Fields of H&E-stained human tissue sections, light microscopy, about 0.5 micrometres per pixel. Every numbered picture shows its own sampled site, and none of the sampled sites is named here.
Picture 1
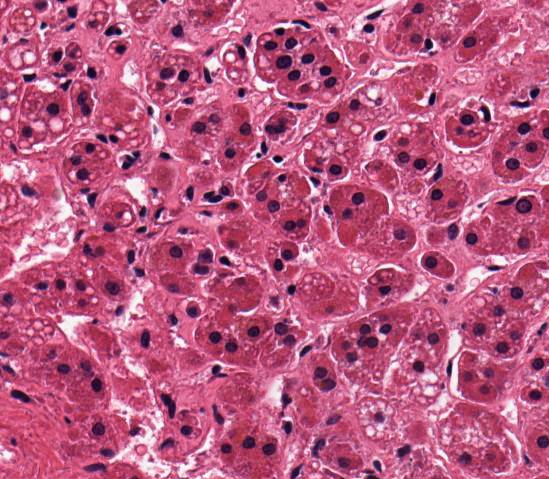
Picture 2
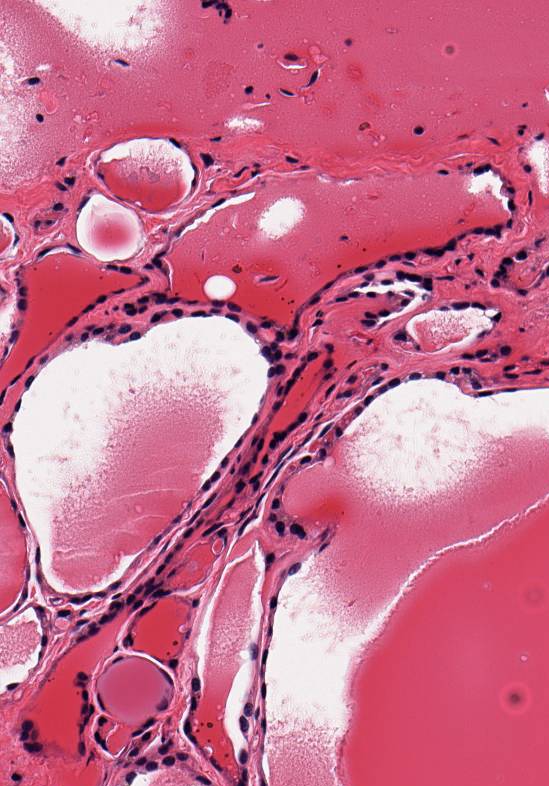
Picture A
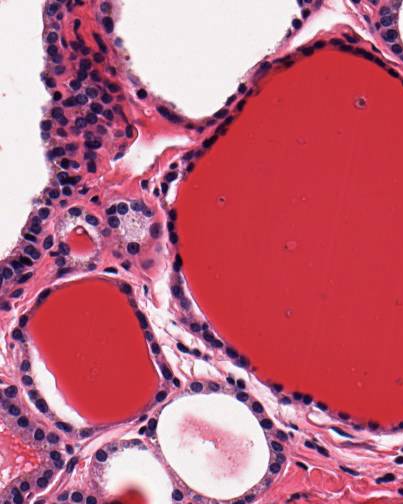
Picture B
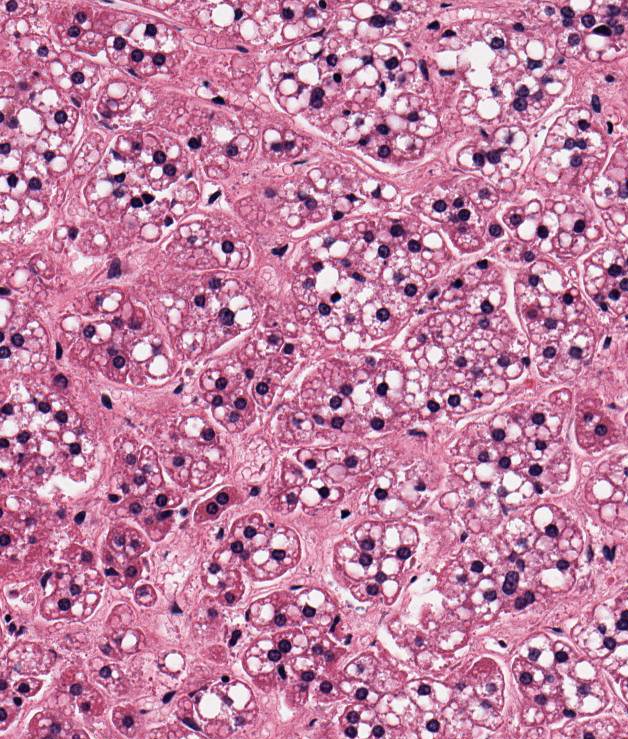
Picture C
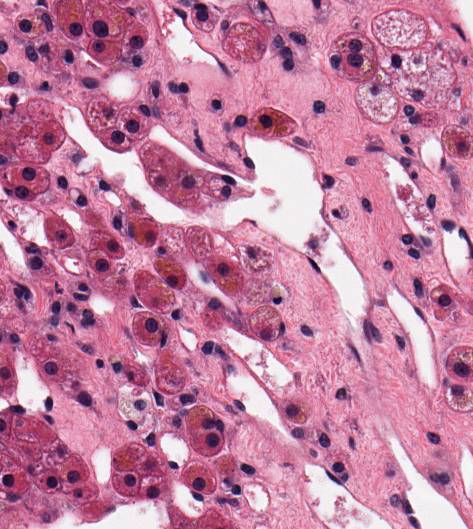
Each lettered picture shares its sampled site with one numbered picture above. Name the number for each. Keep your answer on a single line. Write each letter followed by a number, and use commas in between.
A 2, B 1, C 1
